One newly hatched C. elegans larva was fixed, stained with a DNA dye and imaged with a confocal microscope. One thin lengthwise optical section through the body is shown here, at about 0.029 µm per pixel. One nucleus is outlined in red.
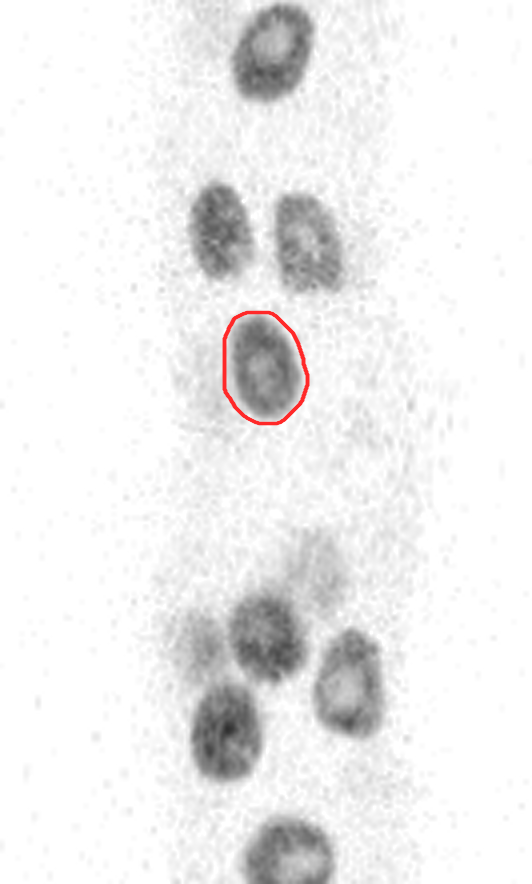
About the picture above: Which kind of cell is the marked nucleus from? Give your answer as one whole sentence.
The cell with the marked nucleus is a seam cell.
